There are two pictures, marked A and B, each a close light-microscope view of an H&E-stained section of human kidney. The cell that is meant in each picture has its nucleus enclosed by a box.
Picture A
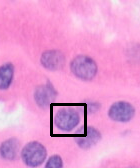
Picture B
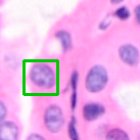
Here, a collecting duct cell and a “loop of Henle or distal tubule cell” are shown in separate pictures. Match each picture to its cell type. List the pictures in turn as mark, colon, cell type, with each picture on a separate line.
A: collecting duct cell
B: loop of Henle or distal tubule cell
